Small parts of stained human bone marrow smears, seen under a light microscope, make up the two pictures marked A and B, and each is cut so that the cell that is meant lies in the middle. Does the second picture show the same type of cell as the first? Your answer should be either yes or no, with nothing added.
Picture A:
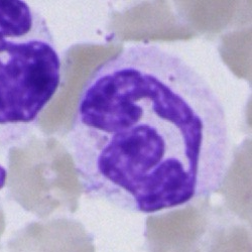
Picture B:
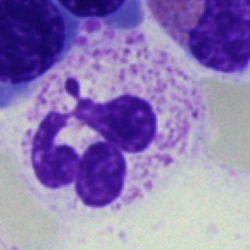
yes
